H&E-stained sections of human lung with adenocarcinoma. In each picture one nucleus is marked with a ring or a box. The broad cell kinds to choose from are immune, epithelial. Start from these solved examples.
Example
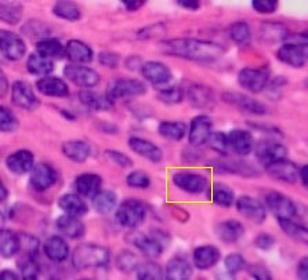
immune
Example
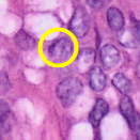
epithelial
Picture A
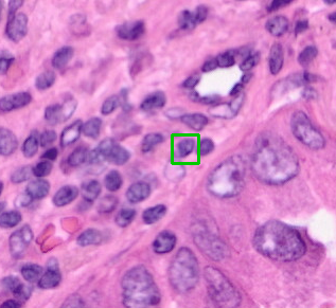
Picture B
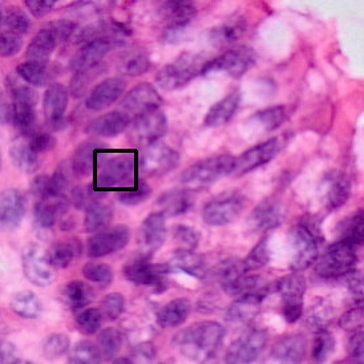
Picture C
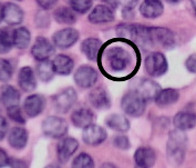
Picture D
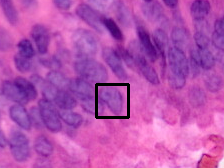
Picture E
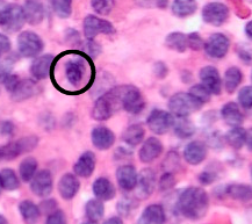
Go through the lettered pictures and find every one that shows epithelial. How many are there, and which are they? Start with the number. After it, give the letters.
2, namely B, D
